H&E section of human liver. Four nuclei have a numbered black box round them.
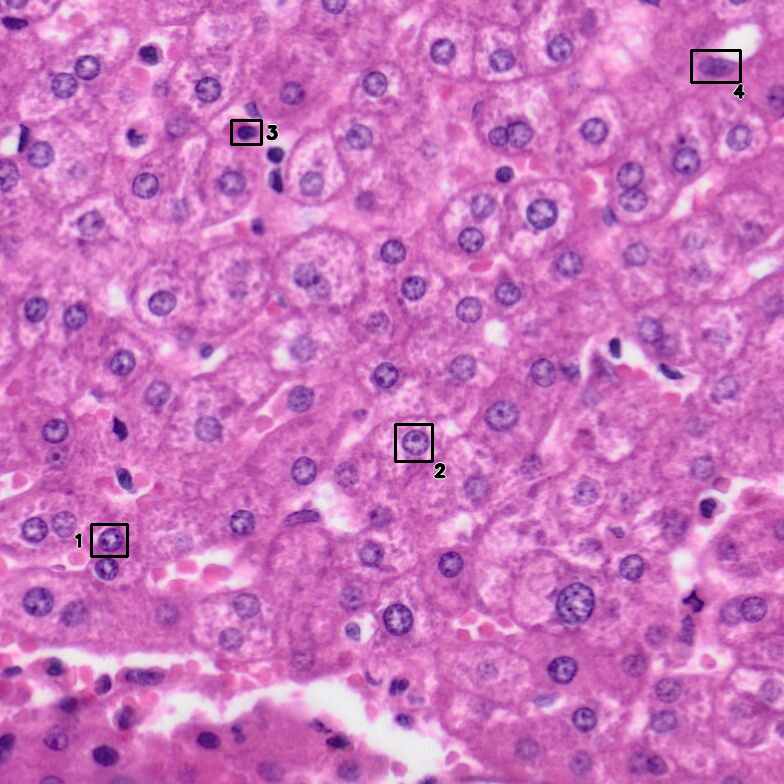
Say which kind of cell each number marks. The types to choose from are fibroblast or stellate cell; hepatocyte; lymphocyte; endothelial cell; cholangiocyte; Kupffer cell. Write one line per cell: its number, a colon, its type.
1: hepatocyte
2: hepatocyte
3: lymphocyte
4: endothelial cell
